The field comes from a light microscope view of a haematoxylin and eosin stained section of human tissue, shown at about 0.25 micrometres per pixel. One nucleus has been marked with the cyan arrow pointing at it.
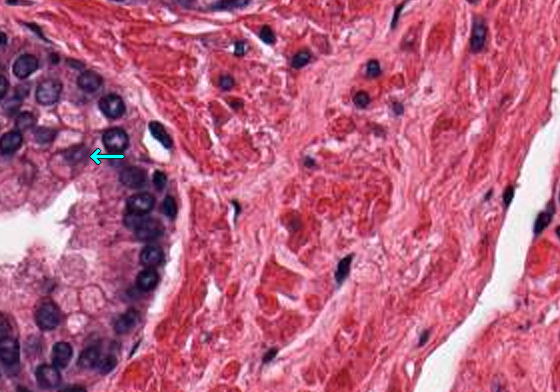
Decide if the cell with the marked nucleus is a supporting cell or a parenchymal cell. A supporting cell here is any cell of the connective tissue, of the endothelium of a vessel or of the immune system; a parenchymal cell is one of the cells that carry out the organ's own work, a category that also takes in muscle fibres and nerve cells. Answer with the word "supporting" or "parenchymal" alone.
parenchymal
